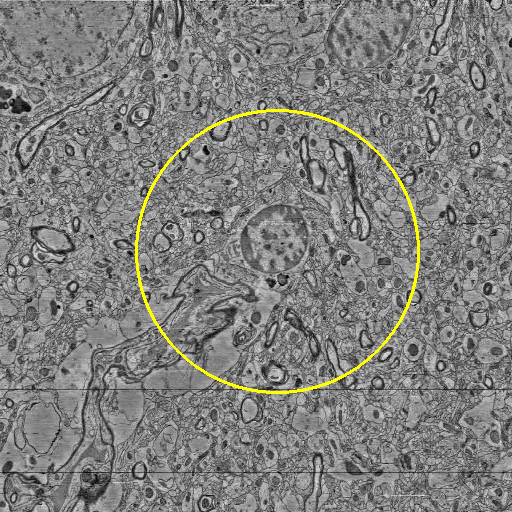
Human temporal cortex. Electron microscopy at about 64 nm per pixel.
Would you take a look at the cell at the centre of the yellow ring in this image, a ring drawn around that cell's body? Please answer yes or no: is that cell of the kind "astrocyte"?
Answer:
no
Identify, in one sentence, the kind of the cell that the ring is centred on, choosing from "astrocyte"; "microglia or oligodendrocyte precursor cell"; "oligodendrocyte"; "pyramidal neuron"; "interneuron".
The ring's central cell is a microglial cell or oligodendrocyte precursor cell instead.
